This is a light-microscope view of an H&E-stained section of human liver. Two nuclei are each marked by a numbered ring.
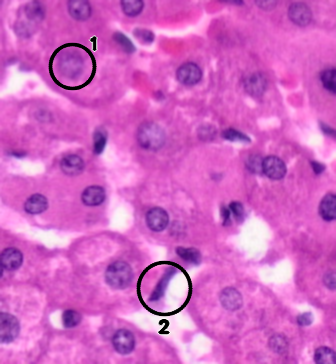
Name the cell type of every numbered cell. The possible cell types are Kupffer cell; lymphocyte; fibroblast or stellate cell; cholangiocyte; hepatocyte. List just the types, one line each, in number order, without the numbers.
hepatocyte
Kupffer cell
